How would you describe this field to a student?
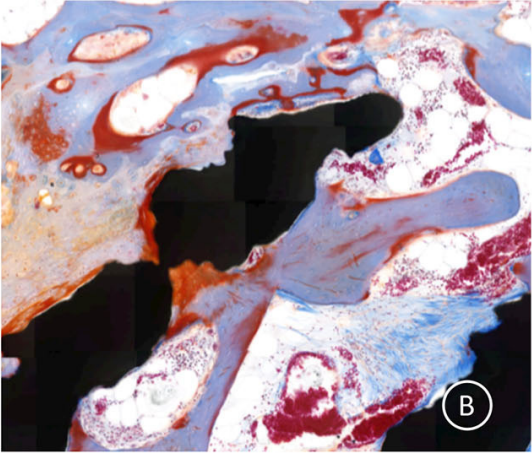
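Thin red-orange bands line parts of the bone surfaces, marking osteoid laid down on the bone. The spaces between the trabeculae hold marrow with clear round fat vacuoles and clusters of small red-purple blood-forming cells. No dense collections of inflammatory cells are seen.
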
